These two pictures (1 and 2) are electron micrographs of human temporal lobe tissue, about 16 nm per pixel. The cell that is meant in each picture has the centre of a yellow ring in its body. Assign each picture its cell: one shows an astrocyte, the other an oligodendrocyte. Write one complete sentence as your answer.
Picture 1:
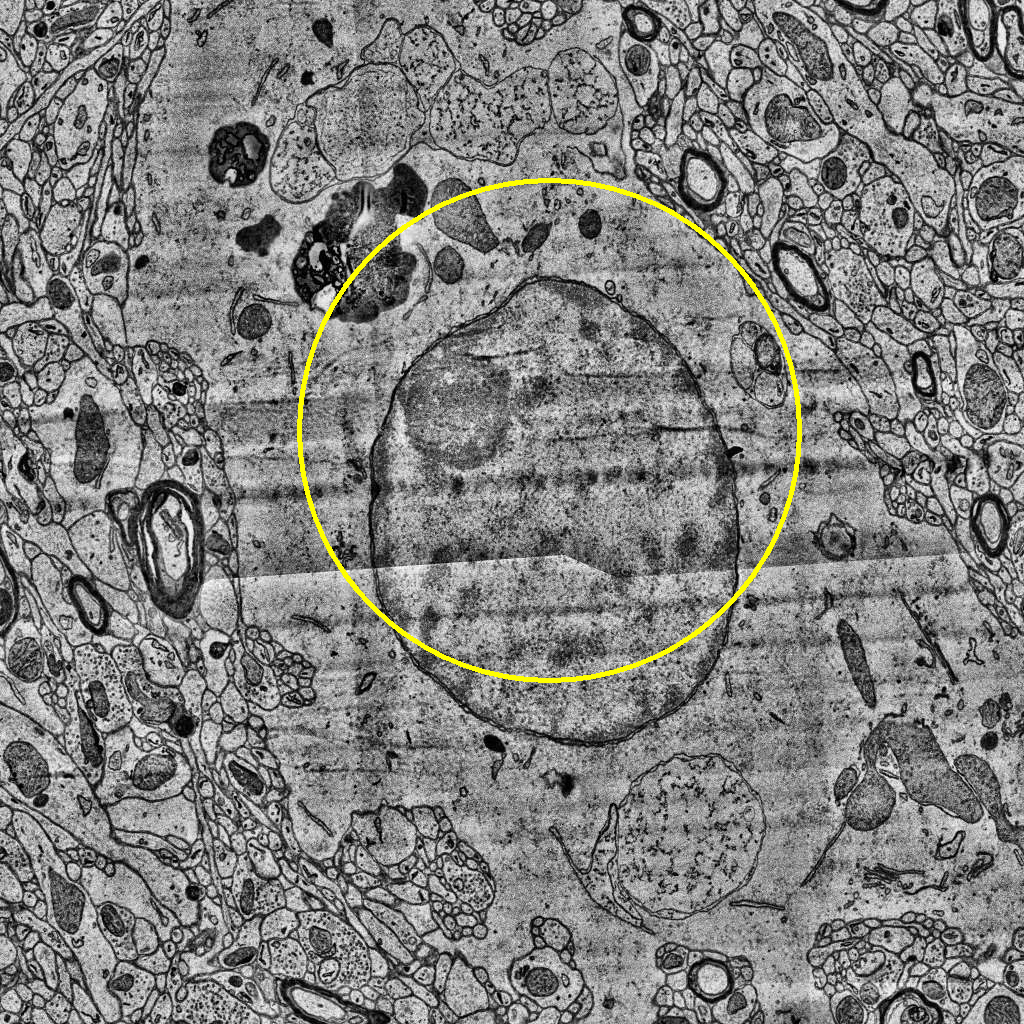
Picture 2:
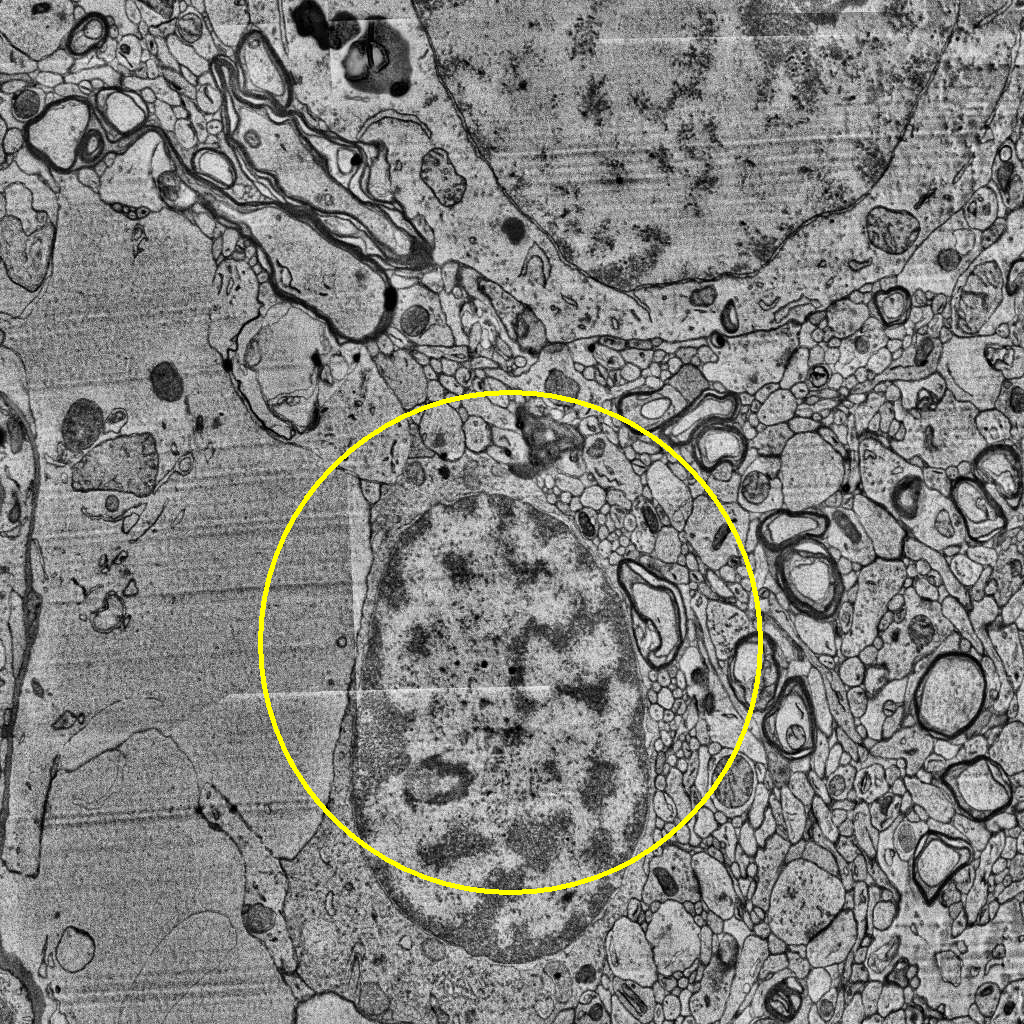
Picture 1 shows an astrocyte and picture 2 shows an oligodendrocyte.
